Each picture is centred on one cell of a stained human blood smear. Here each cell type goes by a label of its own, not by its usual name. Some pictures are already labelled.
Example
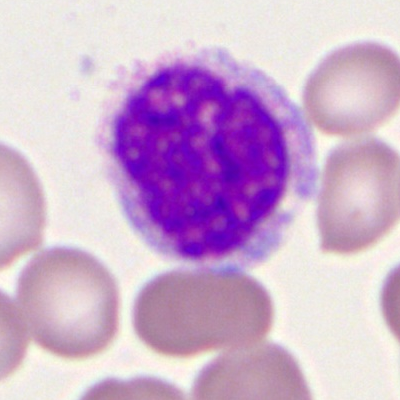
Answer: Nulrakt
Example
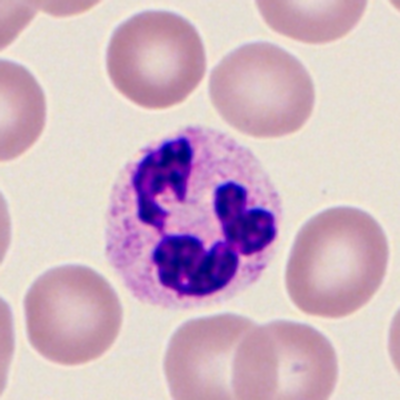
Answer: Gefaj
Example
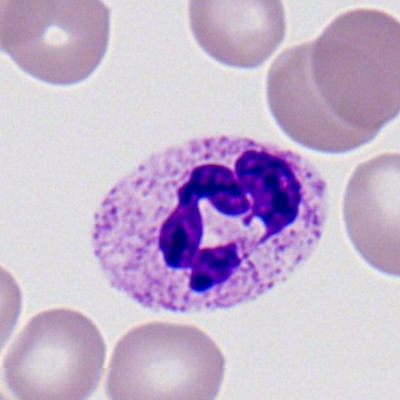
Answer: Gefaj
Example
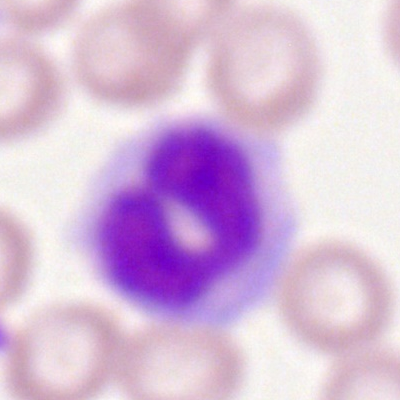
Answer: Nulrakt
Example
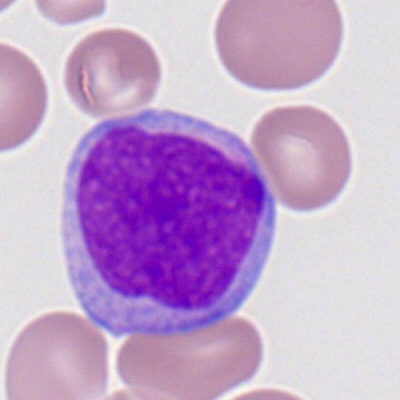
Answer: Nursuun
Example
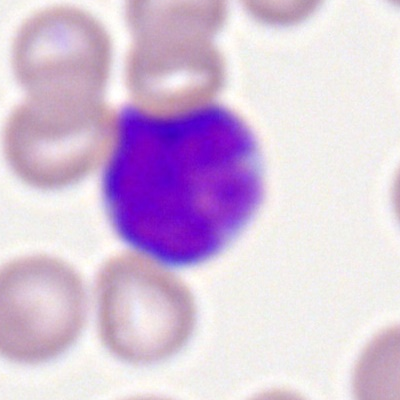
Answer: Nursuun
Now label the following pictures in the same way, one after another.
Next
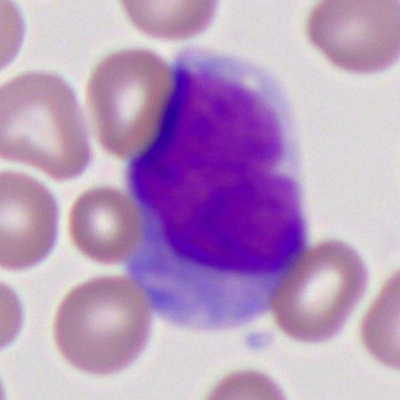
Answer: Nursuun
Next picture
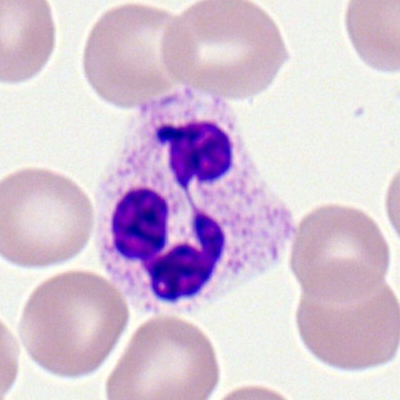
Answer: Gefaj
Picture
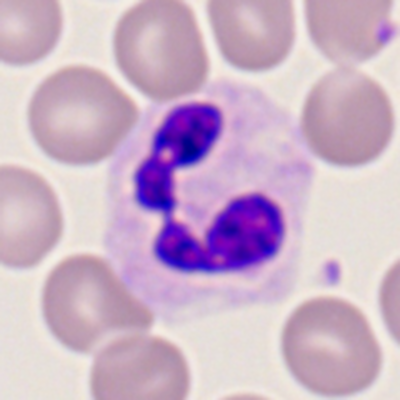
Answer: Gefaj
